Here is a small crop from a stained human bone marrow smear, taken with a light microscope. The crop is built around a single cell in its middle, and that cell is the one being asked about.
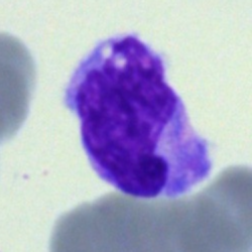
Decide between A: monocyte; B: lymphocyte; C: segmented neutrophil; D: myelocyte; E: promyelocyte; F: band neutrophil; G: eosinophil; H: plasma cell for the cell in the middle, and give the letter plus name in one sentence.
The cell at the centre is a monocyte, and option A accordingly is correct.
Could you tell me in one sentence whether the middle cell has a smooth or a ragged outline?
This cell has an uneven outline, either ragged or bearing projections.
